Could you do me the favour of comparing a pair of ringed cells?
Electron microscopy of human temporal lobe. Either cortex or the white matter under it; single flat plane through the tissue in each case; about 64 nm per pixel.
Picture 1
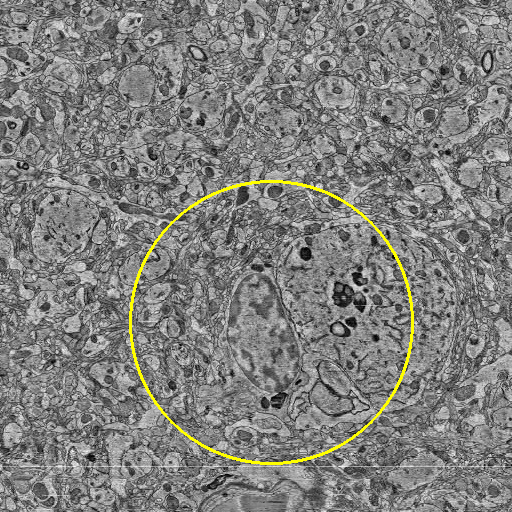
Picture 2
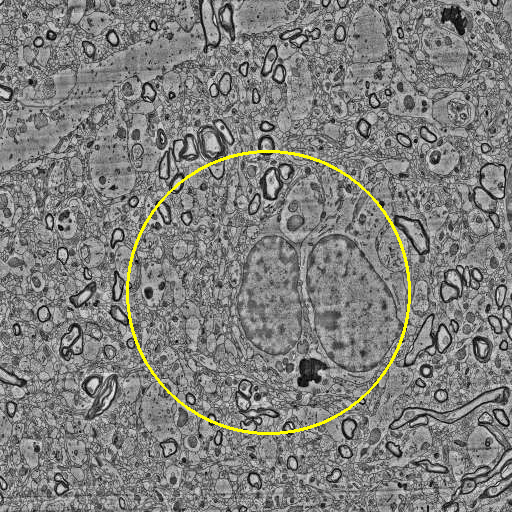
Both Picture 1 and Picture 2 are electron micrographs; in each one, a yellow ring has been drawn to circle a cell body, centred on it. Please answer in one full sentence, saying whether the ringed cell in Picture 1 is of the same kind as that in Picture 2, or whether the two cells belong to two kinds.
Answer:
The ringed cells in Picture 1 and Picture 2 belong to two kinds.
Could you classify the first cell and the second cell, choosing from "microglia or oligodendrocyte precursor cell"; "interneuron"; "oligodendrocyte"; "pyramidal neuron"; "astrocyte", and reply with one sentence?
The second cell is an oligodendrocyte, while the first is a microglial cell or oligodendrocyte precursor cell.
